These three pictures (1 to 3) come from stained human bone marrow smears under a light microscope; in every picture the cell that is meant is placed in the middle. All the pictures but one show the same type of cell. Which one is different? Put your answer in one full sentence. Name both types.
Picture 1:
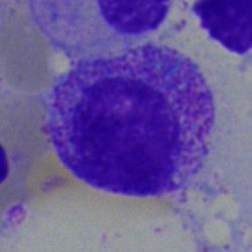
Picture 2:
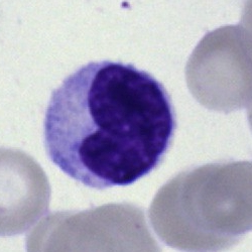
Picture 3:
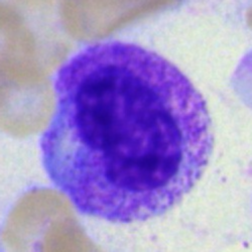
All pictures except 1 show metamyelocytes; picture 1 shows a myelocyte.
